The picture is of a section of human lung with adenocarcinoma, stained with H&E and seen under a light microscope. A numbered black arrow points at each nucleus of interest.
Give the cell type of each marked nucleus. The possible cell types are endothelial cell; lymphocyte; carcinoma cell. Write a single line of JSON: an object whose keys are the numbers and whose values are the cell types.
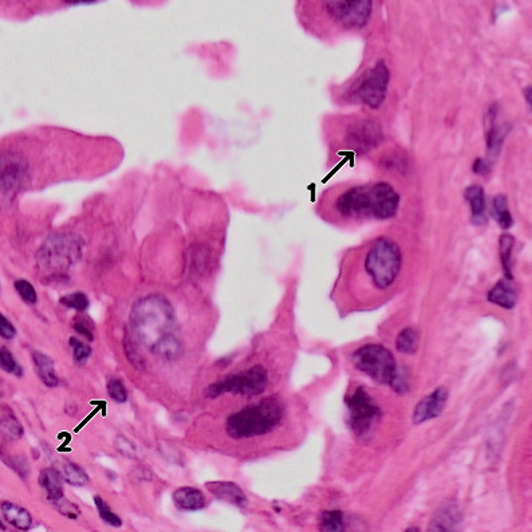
{"1": "carcinoma cell", "2": "lymphocyte"}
